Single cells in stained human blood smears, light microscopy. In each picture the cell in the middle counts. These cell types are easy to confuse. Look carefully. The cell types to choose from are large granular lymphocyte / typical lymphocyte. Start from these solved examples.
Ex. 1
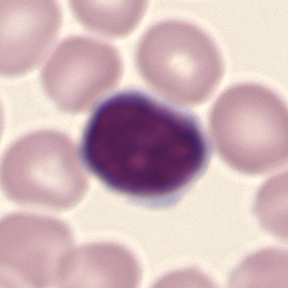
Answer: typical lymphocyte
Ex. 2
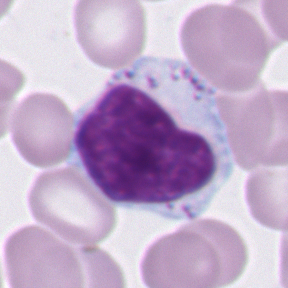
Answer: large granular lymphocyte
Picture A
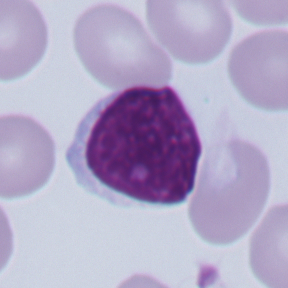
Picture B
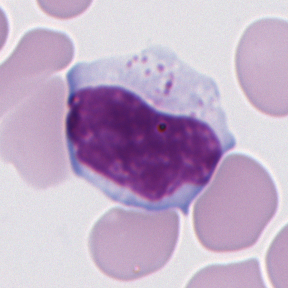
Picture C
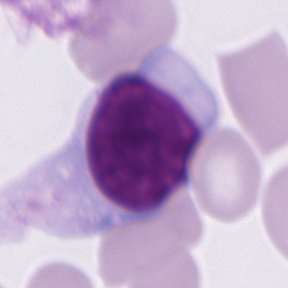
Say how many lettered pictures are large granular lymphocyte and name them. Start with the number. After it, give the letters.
Count: 2 (B, C)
